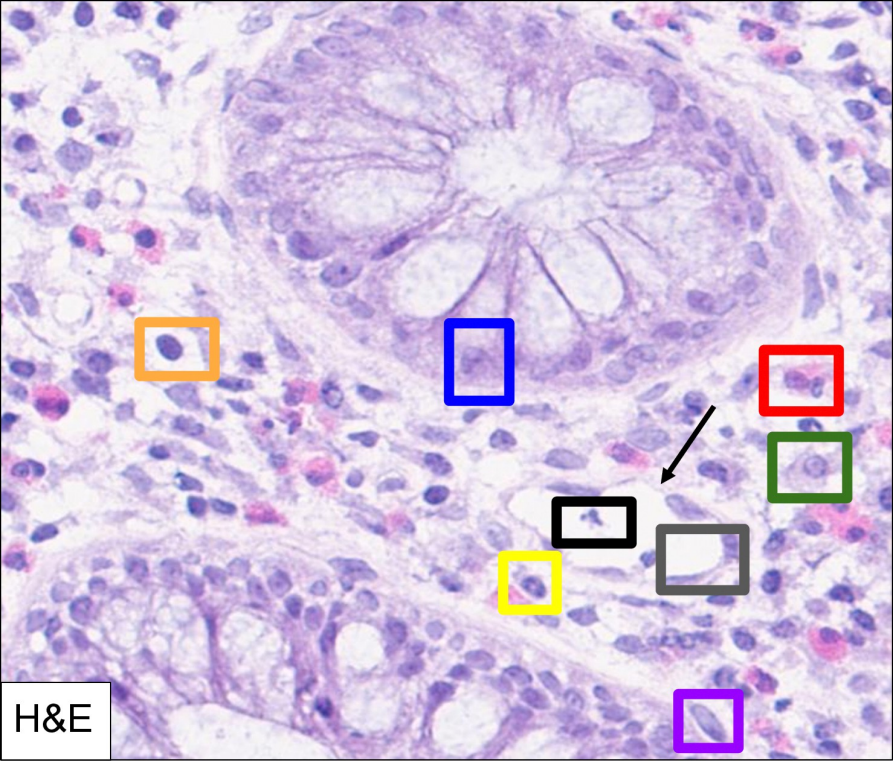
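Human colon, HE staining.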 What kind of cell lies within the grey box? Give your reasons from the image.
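Endothelial cells. The boxed cell is flattened and thin. It lies along the edge of an empty lumen-like space.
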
